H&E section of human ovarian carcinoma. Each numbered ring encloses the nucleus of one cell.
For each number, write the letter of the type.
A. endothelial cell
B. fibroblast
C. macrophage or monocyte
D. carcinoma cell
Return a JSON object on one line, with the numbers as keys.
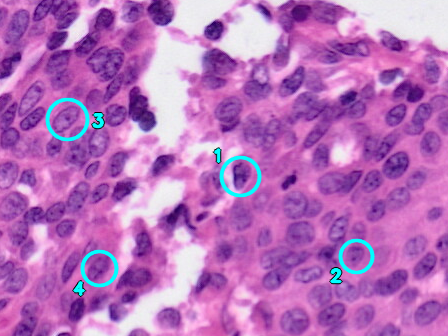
{"1": "C", "2": "D", "3": "D", "4": "D"}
